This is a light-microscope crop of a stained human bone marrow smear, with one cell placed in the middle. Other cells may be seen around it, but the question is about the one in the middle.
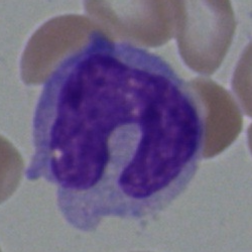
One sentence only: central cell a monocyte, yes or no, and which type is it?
Yes, in the middle of the crop is a monocyte.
